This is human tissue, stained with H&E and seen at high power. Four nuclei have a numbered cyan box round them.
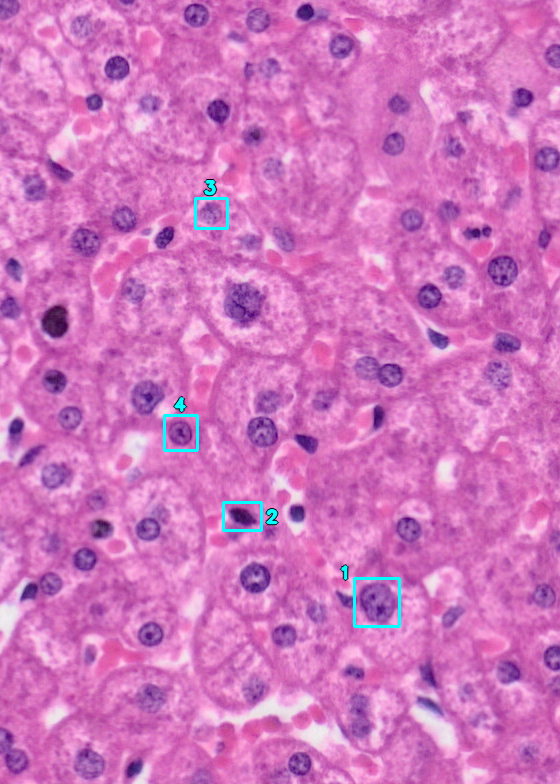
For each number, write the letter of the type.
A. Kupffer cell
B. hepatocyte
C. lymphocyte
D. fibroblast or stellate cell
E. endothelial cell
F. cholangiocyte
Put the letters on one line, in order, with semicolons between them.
B; D; B; B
